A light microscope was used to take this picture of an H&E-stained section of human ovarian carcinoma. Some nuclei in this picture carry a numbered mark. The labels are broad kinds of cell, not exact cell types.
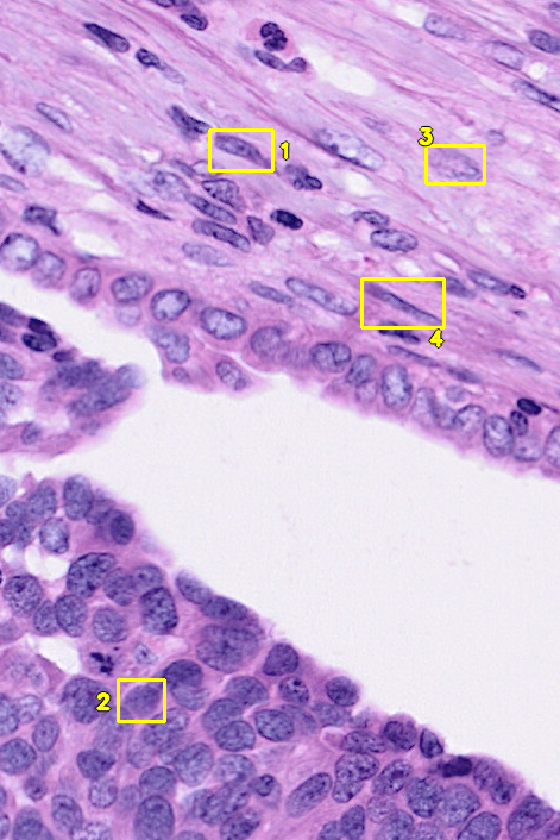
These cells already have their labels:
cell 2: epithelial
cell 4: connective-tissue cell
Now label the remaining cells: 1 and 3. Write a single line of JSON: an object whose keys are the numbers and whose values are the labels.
{"1": "connective-tissue cell", "3": "connective-tissue cell"}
